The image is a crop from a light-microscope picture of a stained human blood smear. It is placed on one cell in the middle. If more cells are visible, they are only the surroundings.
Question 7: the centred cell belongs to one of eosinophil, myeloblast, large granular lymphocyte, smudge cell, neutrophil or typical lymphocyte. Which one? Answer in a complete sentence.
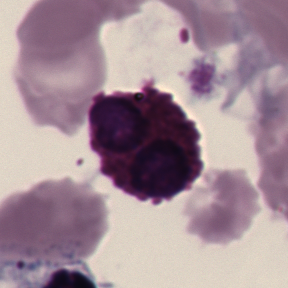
Where the crop is centred, there is an eosinophil.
